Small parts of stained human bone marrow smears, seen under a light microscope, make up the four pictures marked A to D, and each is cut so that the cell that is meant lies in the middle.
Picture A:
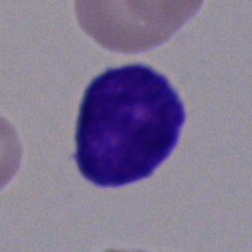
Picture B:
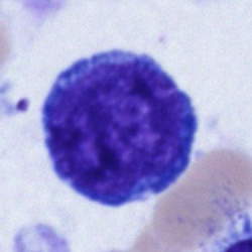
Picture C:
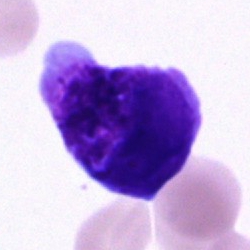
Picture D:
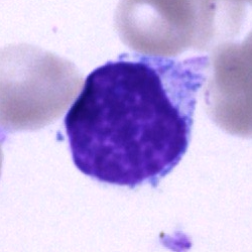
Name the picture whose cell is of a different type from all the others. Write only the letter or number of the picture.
D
